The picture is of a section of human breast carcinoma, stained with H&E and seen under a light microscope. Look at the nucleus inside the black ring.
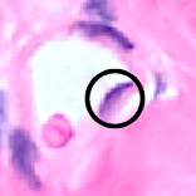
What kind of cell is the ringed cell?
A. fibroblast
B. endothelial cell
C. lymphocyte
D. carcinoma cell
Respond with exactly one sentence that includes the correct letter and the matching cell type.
Option B holds, since the ringed cell is an endothelial cell.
